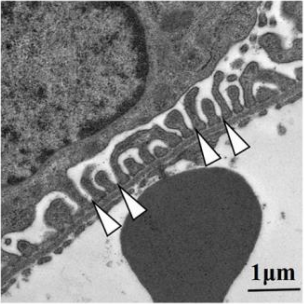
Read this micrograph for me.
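A thin, dense basement membrane runs diagonally, with many small, regularly spaced foot processes standing on its outer side and separated by narrow clear slits. A large nucleus with granular chromatin lies at upper left, and a dark, homogeneous round body fills part of the capillary lumen below the membrane.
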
